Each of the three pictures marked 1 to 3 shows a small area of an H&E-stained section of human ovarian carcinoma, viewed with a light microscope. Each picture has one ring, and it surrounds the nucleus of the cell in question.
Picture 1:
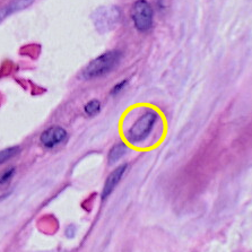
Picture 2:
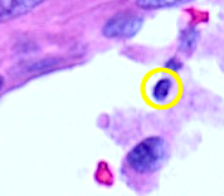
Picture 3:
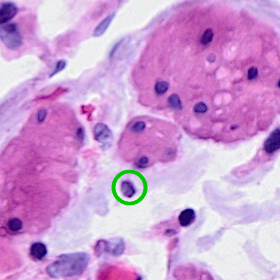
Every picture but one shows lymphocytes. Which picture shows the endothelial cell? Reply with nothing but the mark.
1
